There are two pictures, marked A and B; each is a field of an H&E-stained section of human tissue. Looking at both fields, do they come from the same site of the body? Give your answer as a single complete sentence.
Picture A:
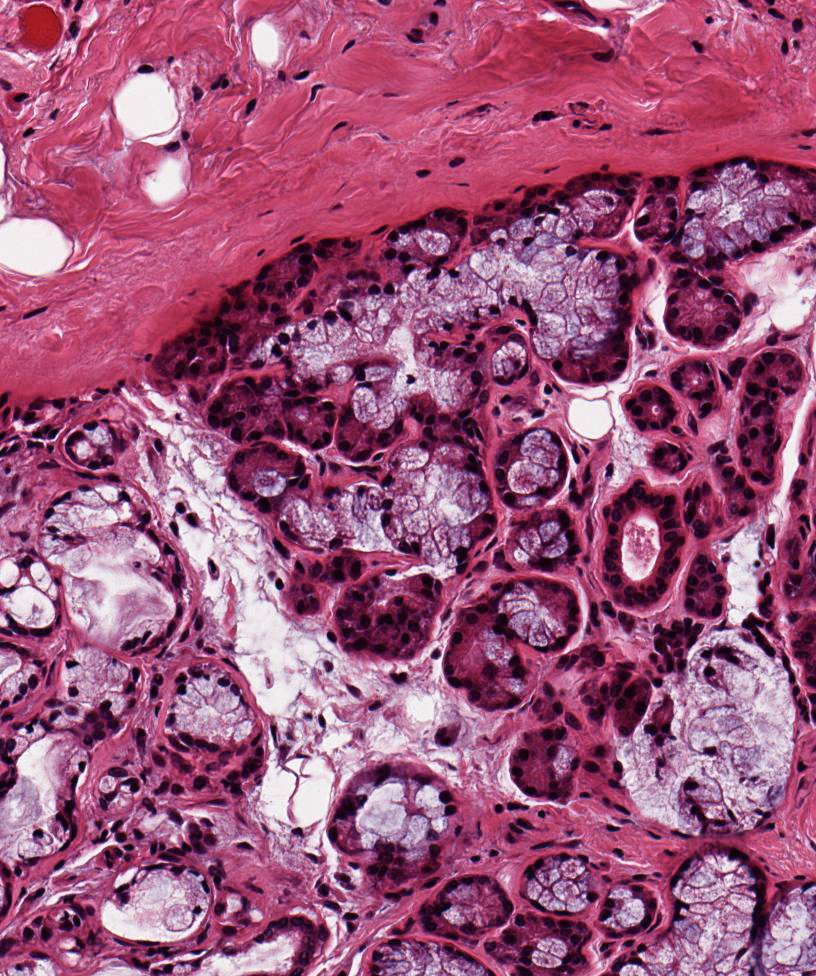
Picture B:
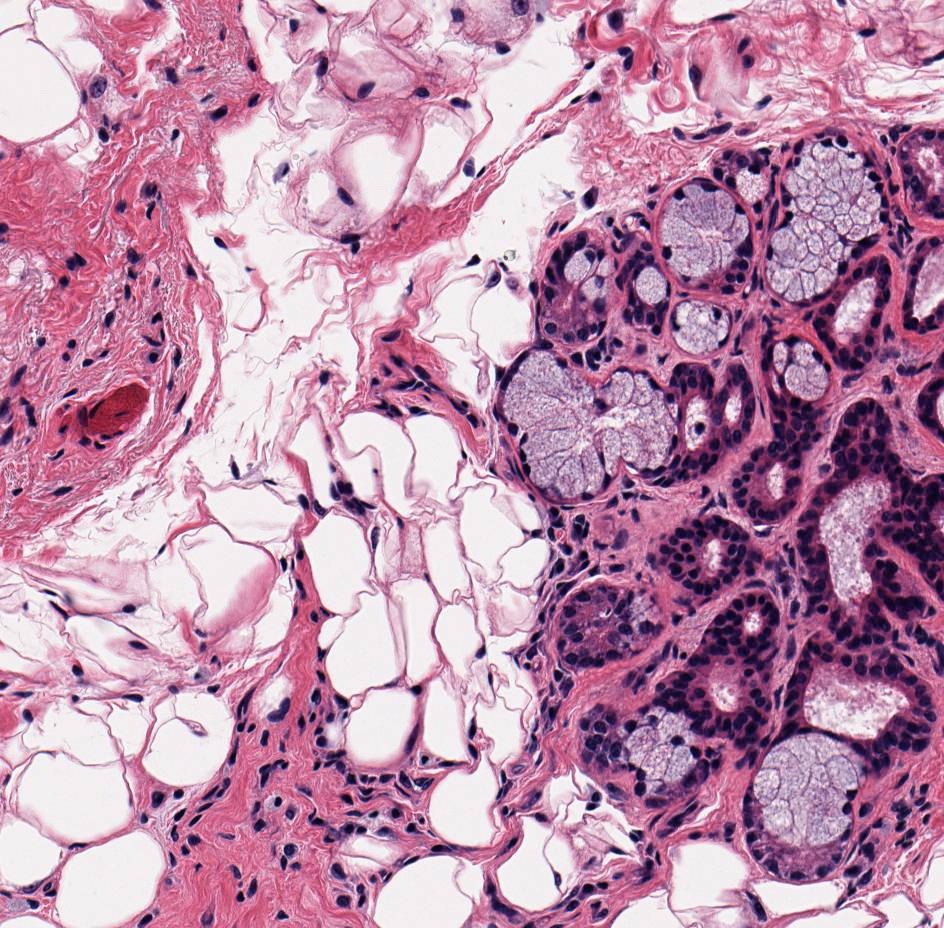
Yes, they come from the same site of the body: both come from a minor salivary gland.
